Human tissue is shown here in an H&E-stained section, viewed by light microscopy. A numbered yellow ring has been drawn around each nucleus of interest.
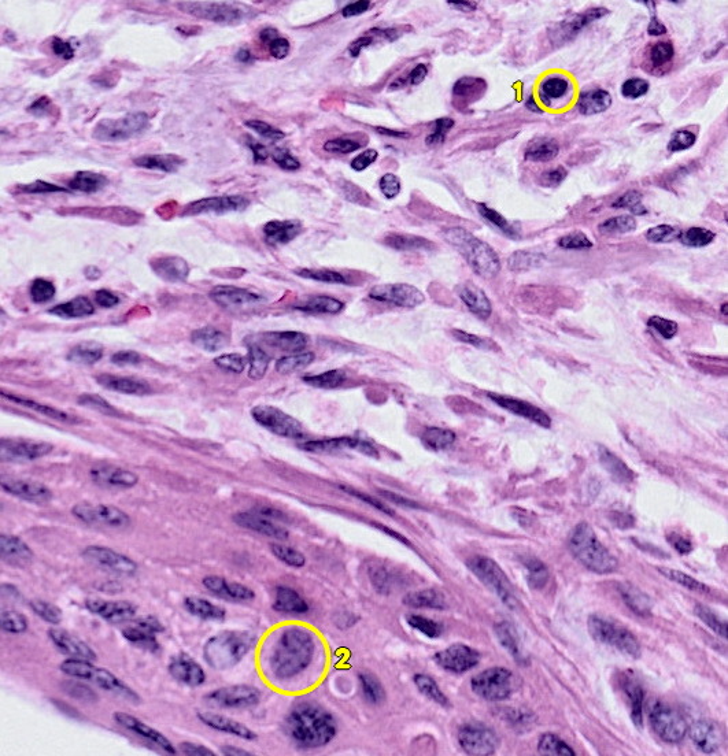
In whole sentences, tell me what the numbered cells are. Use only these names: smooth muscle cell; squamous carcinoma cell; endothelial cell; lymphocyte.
Cell 1 is a lymphocyte and cell 2 is a squamous carcinoma cell.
